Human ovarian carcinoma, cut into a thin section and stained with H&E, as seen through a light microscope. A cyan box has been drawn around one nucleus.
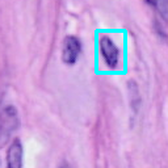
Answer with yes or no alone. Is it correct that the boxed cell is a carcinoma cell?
no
